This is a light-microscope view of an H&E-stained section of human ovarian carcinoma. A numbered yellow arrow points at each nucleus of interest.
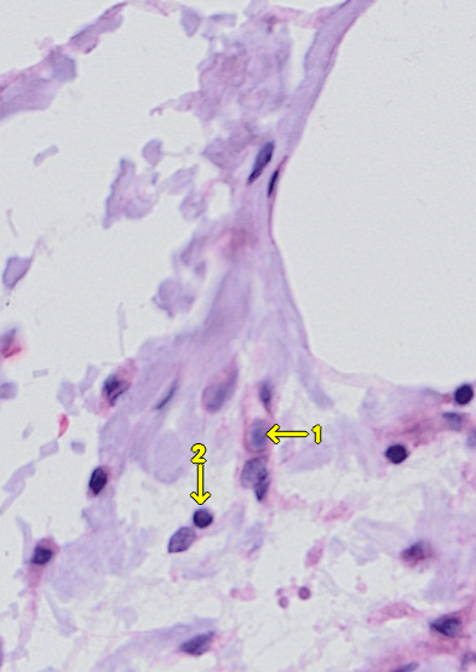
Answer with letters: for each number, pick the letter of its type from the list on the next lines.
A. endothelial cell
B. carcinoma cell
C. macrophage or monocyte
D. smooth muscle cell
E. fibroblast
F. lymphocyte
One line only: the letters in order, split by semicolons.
A; F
